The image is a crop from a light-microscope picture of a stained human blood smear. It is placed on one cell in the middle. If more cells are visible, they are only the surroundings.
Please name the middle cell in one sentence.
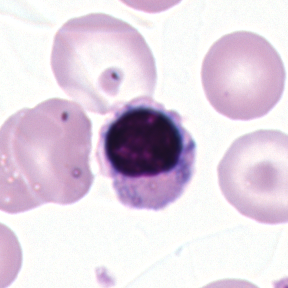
This crop's central cell is a normoblast.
